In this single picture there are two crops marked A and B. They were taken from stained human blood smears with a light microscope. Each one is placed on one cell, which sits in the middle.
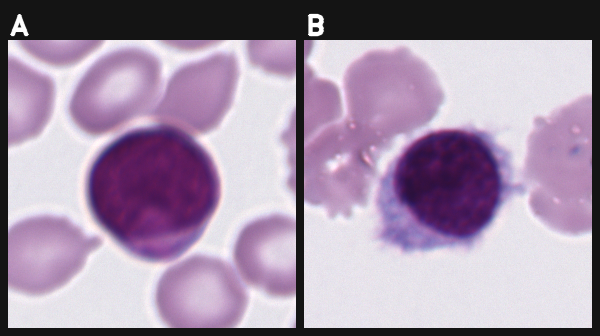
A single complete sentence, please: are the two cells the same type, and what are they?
No, crop A is of a blast, and crop B is of a hairy cell.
